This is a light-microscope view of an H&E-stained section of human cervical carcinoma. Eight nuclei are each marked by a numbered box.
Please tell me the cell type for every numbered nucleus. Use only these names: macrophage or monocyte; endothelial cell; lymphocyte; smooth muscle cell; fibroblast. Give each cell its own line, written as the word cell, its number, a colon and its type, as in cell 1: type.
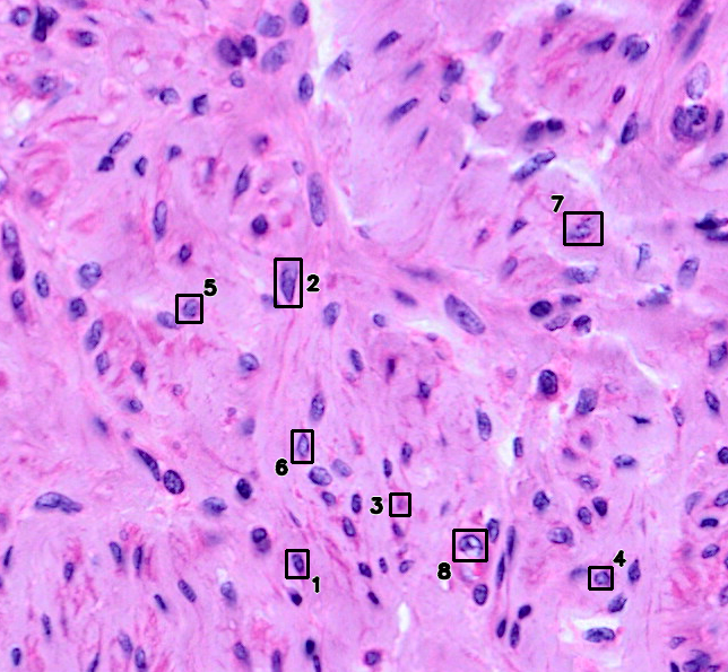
cell 1: fibroblast
cell 2: fibroblast
cell 3: smooth muscle cell
cell 4: smooth muscle cell
cell 5: smooth muscle cell
cell 6: smooth muscle cell
cell 7: smooth muscle cell
cell 8: endothelial cell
